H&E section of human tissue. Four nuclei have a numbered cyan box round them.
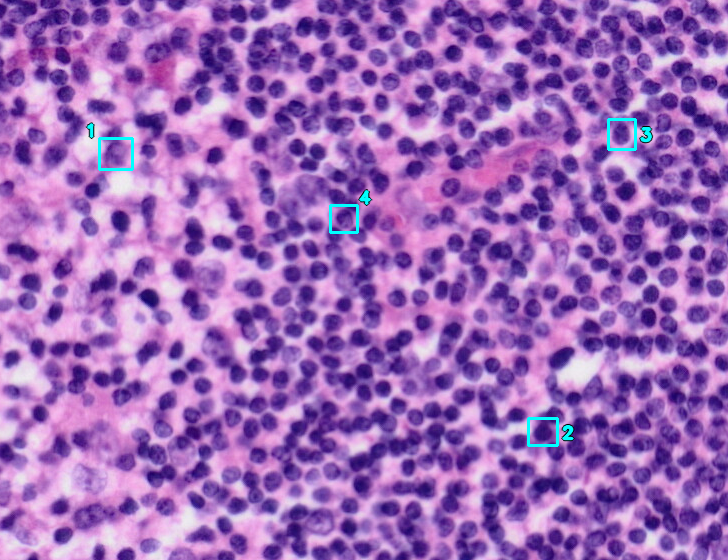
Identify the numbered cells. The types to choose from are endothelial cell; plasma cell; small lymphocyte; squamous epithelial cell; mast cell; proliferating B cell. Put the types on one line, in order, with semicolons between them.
proliferating B cell; small lymphocyte; small lymphocyte; small lymphocyte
